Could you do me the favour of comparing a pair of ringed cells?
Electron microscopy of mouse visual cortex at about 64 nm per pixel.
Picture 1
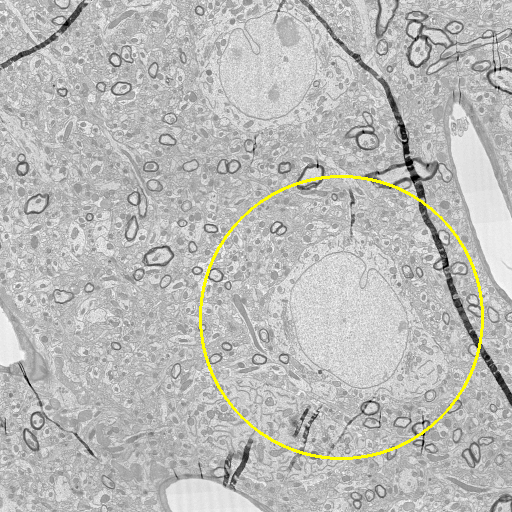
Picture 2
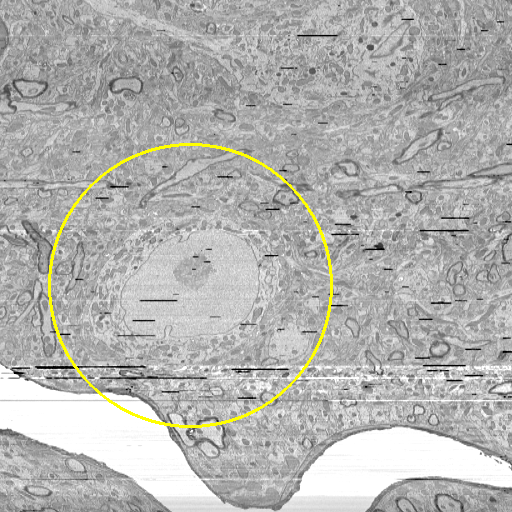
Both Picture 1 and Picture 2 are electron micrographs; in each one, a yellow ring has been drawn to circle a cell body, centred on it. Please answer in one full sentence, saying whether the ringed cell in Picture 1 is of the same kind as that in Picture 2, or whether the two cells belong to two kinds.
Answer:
The ringed cells in Picture 1 and Picture 2 belong to two kinds.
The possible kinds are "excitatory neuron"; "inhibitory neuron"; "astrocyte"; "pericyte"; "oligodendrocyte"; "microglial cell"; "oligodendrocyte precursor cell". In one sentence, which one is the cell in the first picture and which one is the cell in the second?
The cell ringed in the second picture is an inhibitory neuron, whereas the one ringed in the first is an excitatory neuron.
